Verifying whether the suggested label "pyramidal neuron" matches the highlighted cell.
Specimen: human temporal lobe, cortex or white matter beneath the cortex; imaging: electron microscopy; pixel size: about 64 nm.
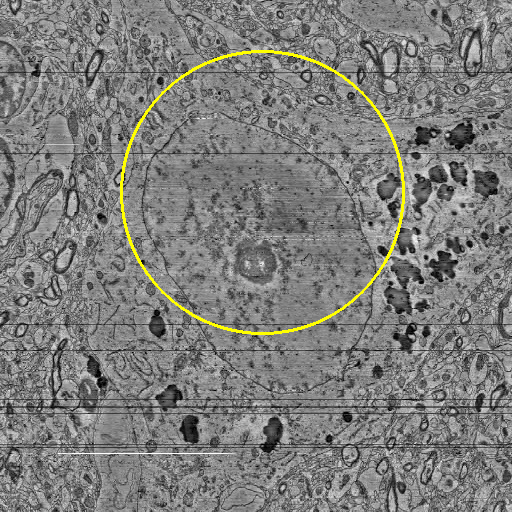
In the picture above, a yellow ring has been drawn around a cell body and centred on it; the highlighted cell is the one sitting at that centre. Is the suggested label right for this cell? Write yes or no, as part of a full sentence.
Yes, the suggested label is right for the cell centred in the yellow ring.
